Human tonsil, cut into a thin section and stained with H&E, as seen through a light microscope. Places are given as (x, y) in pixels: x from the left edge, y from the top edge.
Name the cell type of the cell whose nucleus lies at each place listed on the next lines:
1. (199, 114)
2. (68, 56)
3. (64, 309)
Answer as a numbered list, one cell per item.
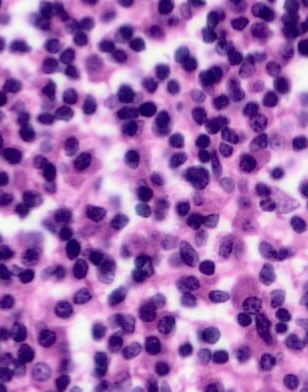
1. small lymphocyte
2. small lymphocyte
3. plasma cell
